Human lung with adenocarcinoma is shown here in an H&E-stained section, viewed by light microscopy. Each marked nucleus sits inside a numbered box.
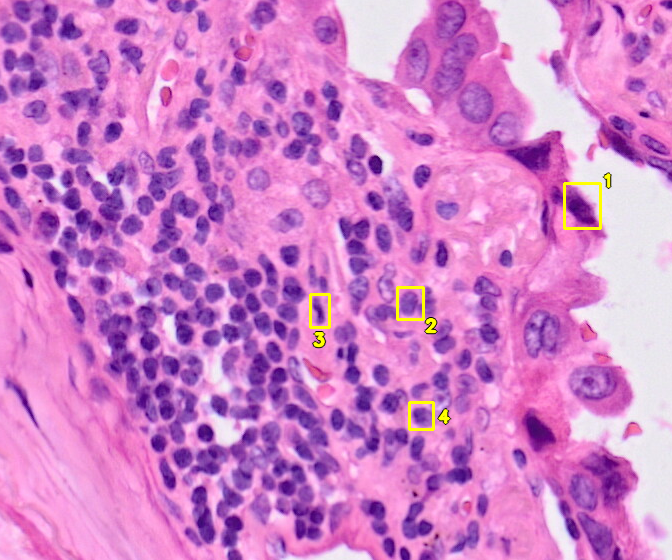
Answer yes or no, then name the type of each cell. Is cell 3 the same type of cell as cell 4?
Yes, both are lymphocytes.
